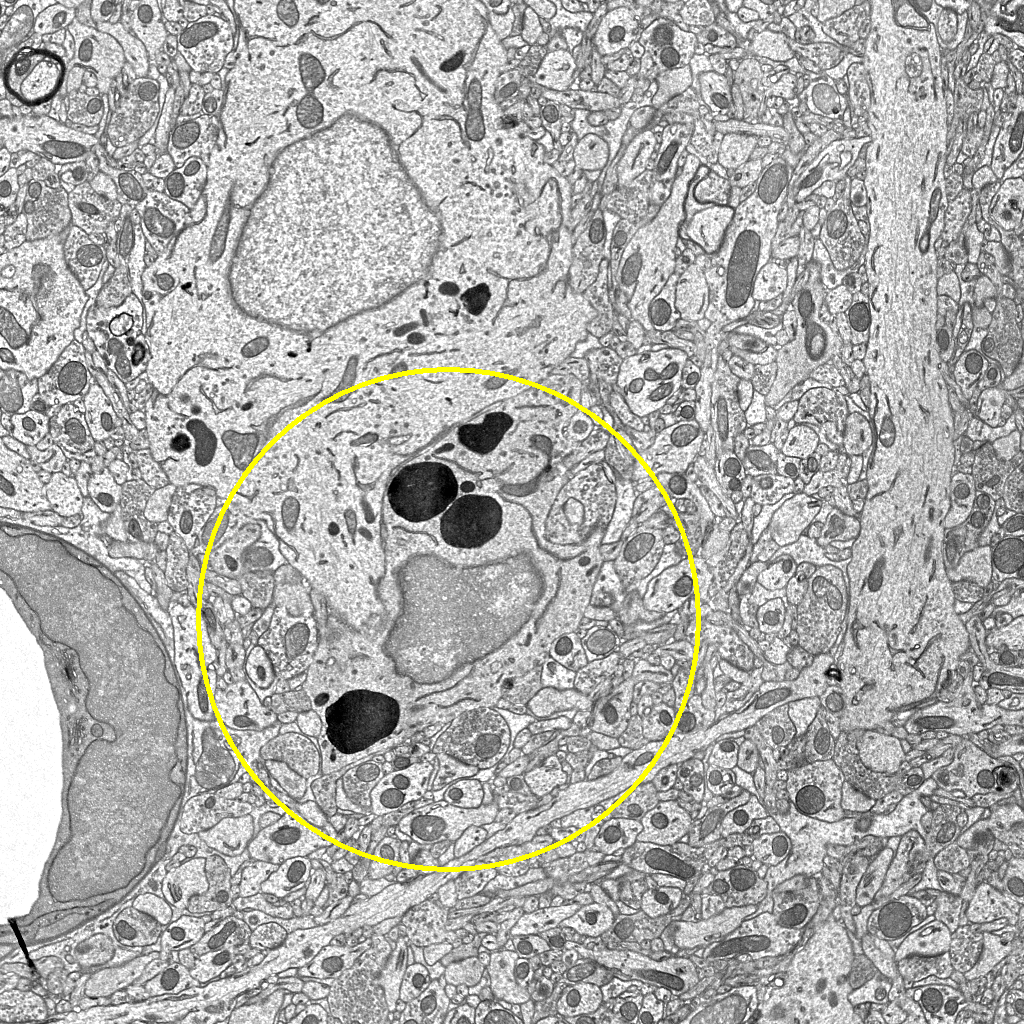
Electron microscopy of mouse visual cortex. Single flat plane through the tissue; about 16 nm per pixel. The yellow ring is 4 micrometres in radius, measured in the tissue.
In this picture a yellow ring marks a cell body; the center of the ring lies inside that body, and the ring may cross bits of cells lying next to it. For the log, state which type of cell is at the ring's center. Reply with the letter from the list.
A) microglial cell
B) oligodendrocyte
A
